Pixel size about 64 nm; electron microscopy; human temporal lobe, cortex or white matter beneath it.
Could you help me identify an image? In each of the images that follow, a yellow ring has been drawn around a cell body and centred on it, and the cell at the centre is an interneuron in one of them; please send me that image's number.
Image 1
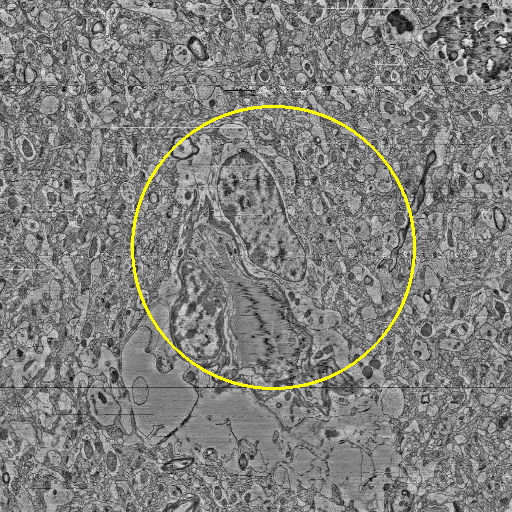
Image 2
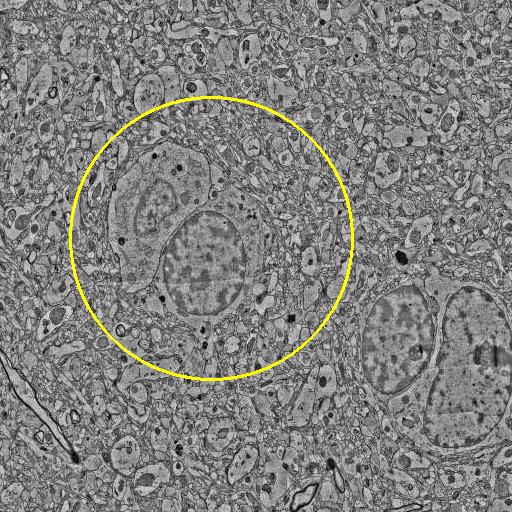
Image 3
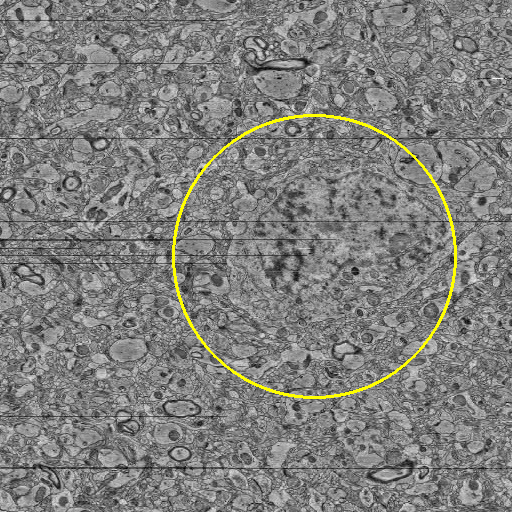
3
